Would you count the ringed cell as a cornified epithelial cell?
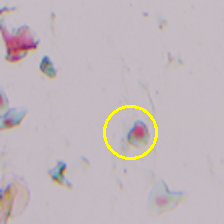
No, I would count it as a nucleated epithelial cell.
